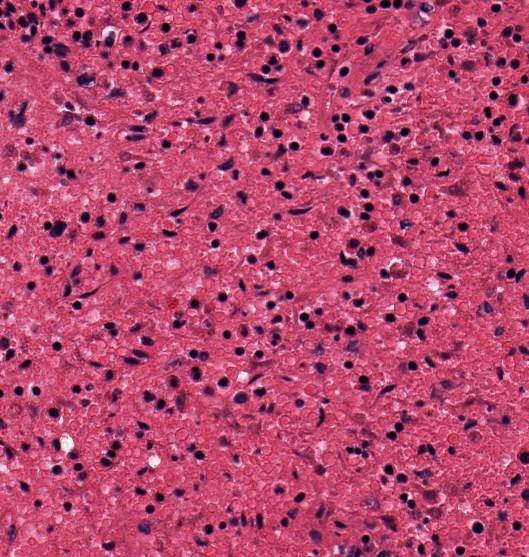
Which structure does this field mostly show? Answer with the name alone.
red pulp of the spleen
